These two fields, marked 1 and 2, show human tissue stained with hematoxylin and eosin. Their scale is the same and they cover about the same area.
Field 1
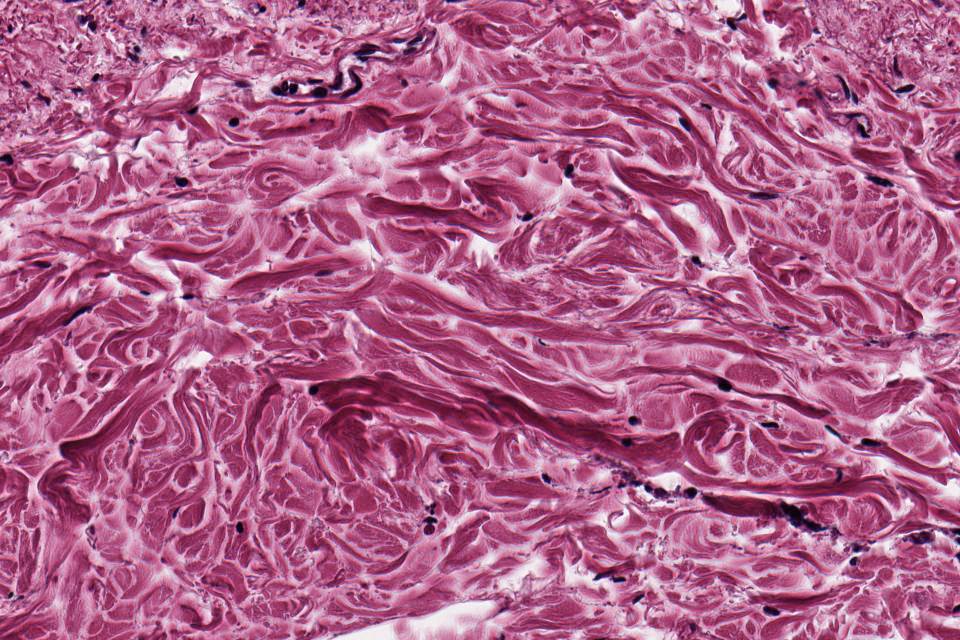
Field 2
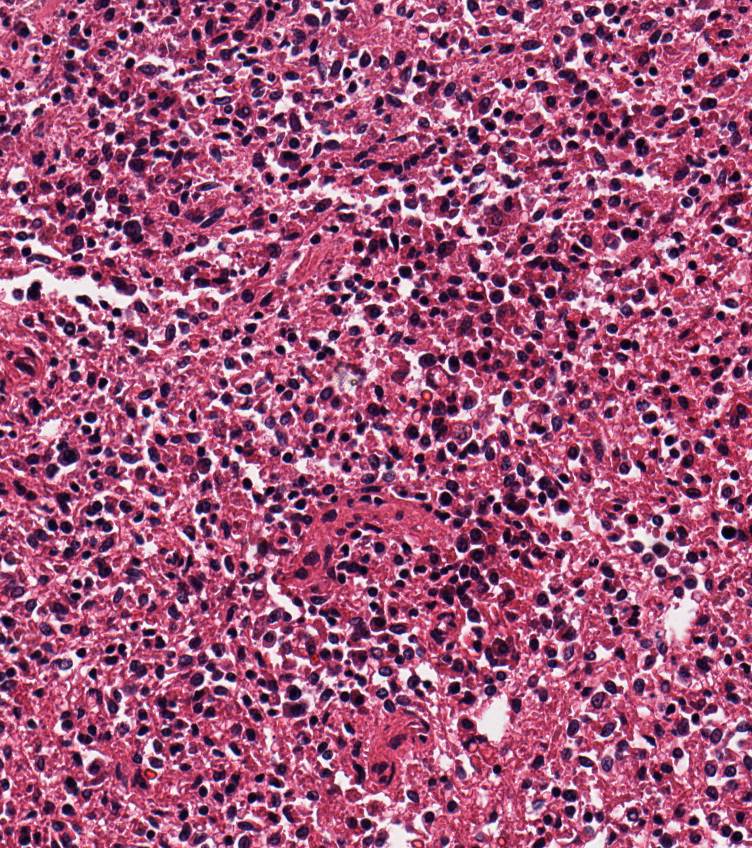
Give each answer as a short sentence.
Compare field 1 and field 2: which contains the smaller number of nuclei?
It is field 1 that has fewer nuclei in it.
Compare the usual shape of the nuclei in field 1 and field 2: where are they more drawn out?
It is field 1 whose nuclei are the more elongated.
